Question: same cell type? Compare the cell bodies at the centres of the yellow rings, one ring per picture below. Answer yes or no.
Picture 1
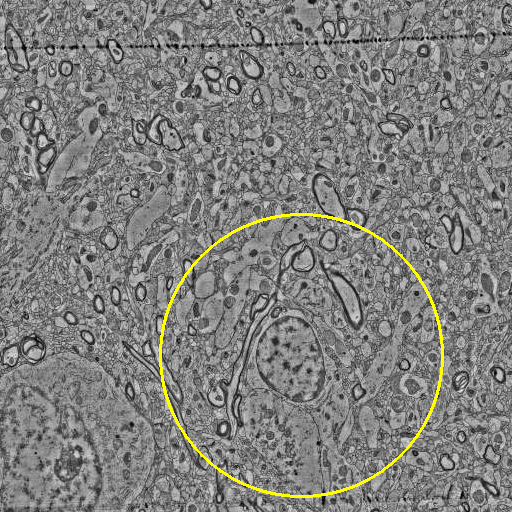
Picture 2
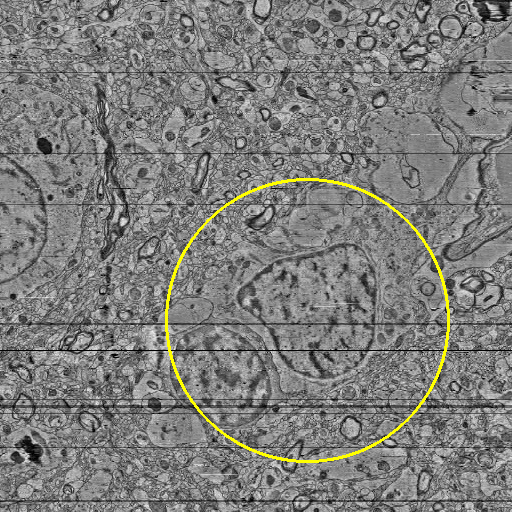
yes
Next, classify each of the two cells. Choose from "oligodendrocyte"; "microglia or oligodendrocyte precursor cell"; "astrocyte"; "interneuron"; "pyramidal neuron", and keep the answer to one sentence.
The first and the second cell are each a microglial cell or oligodendrocyte precursor cell.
